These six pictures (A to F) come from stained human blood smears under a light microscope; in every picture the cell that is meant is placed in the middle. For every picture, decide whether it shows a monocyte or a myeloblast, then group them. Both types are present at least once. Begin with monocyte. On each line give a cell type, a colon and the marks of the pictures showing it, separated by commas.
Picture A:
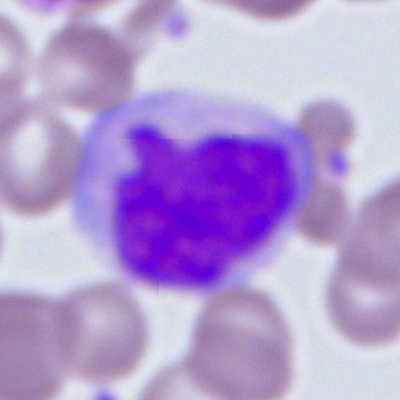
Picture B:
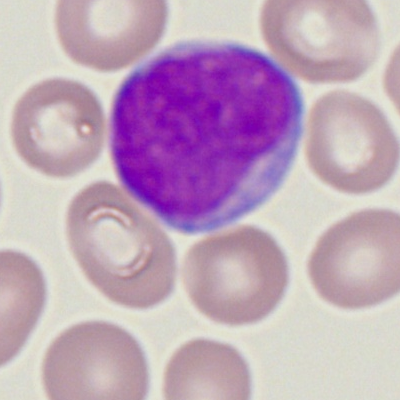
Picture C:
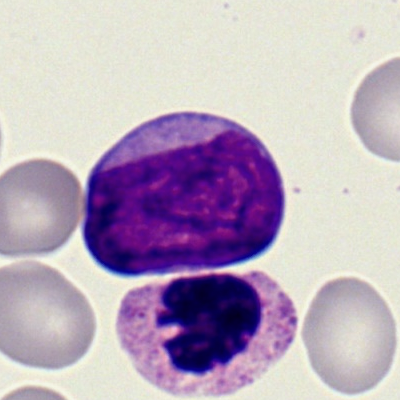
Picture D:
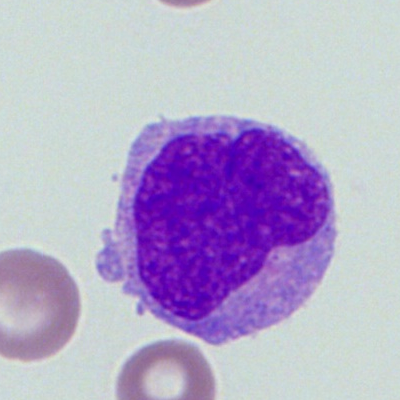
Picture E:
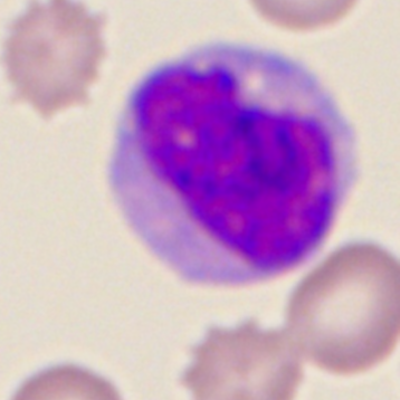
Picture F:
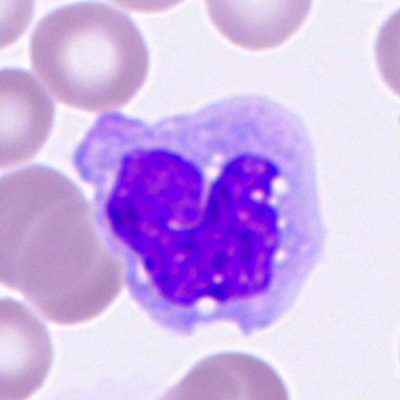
monocyte: A, E, F
myeloblast: B, C, D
